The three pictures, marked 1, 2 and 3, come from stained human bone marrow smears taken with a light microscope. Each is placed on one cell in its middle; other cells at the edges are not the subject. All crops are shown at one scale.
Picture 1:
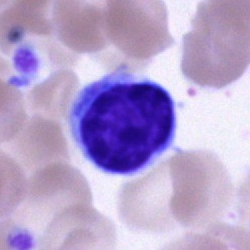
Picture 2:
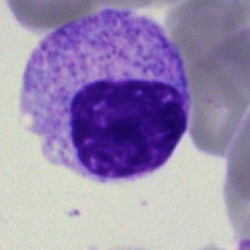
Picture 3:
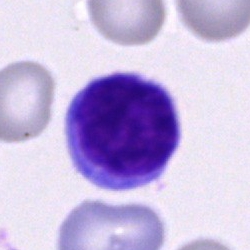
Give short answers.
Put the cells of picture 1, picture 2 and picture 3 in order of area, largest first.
2, 3, 1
